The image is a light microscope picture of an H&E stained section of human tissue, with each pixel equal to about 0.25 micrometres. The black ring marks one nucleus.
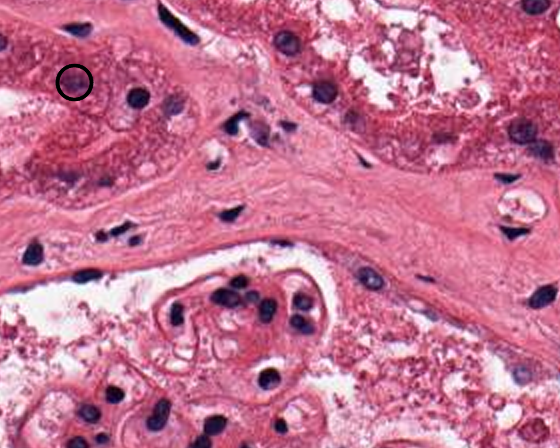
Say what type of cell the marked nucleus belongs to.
proximal tubule cell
